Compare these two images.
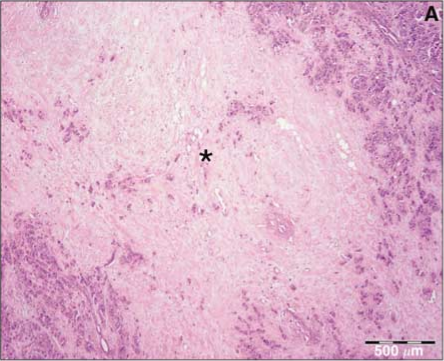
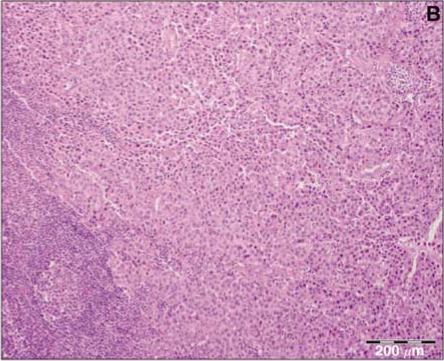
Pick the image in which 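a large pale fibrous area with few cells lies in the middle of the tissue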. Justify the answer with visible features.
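Second image: densely cellular tissue throughout, without a large pale area. First image: a broad pale pink, cell-poor area in the centre, bordered by dense purple tissue.
The first image.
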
